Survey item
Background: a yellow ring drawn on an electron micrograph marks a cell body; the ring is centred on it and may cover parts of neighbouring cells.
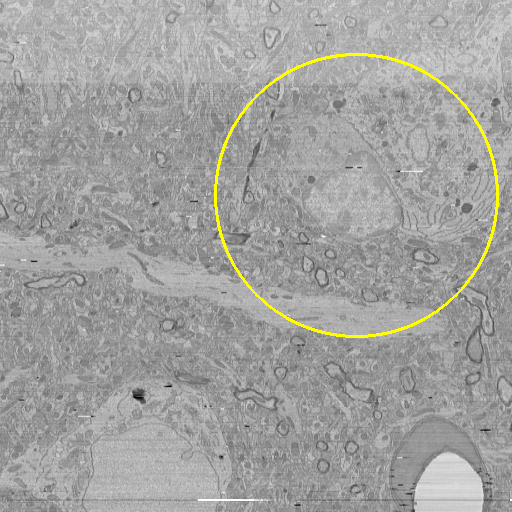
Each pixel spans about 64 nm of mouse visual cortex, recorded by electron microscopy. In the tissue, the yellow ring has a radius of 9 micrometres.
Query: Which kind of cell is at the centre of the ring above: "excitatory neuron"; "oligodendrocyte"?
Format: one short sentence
The cell in the middle of the ring is an oligodendrocyte.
